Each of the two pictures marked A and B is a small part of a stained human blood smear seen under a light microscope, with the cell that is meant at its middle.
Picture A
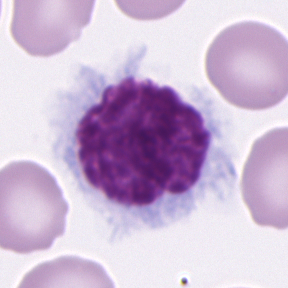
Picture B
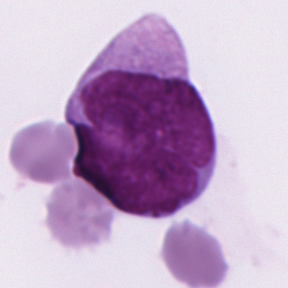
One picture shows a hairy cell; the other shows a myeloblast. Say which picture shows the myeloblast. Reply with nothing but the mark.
B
